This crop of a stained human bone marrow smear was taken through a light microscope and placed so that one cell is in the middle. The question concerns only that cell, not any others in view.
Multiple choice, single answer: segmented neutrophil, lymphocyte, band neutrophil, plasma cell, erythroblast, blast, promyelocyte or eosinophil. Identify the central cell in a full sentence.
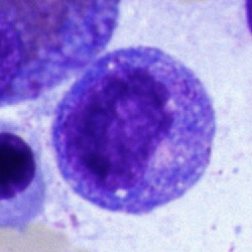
The cell at the middle of the crop is recognized as a promyelocyte.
